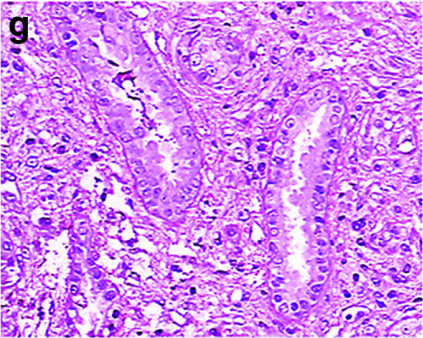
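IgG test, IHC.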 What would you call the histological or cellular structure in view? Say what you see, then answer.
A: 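Two elongated profiles are lined by a single layer of cuboidal epithelial cells. Each profile has a central open lumen. The answer: tubules.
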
